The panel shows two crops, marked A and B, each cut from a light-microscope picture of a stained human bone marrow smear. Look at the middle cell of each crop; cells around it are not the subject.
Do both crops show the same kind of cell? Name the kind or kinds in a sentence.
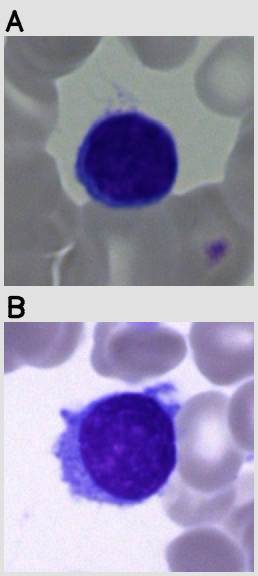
Yes, both crops show lymphocytes at their middles.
